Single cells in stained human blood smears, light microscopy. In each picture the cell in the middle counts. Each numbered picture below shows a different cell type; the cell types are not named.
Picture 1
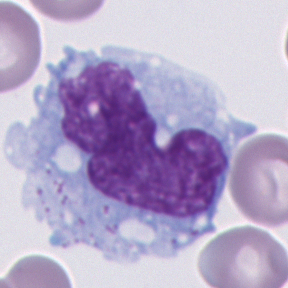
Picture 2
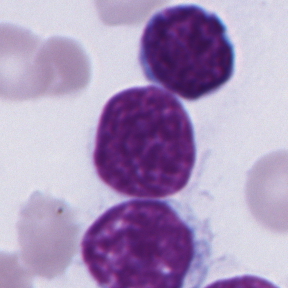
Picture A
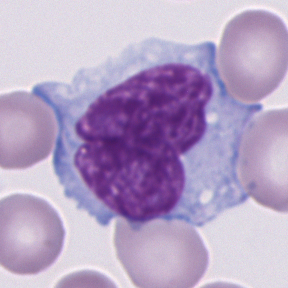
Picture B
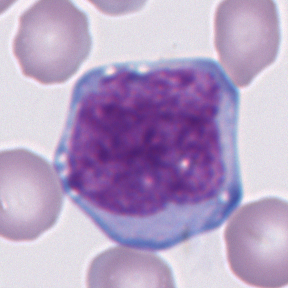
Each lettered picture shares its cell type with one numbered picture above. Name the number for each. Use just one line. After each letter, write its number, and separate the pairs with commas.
A 2, B 2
